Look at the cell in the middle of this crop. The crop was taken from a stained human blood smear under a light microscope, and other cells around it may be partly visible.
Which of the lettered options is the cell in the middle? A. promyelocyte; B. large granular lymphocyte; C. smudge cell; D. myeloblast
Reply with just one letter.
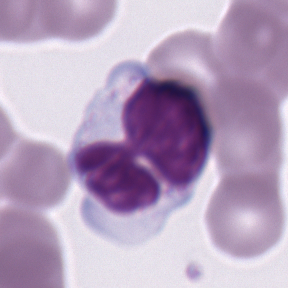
B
